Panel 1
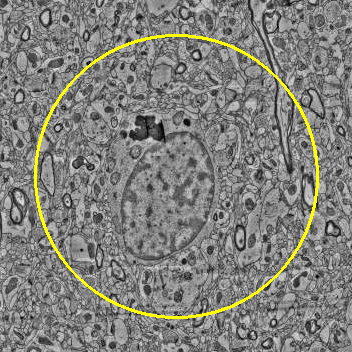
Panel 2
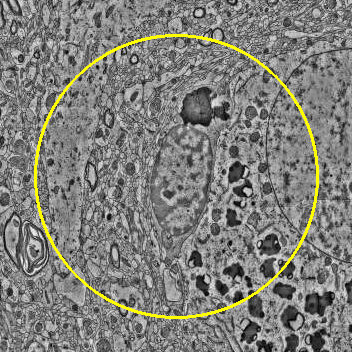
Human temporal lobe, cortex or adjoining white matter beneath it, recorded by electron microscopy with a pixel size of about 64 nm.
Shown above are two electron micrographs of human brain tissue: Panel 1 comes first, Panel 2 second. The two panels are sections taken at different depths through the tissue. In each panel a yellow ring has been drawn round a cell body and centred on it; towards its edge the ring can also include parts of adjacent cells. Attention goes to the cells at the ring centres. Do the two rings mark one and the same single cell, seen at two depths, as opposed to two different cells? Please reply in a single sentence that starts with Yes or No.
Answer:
No, these yellow rings each mark a separate cell.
